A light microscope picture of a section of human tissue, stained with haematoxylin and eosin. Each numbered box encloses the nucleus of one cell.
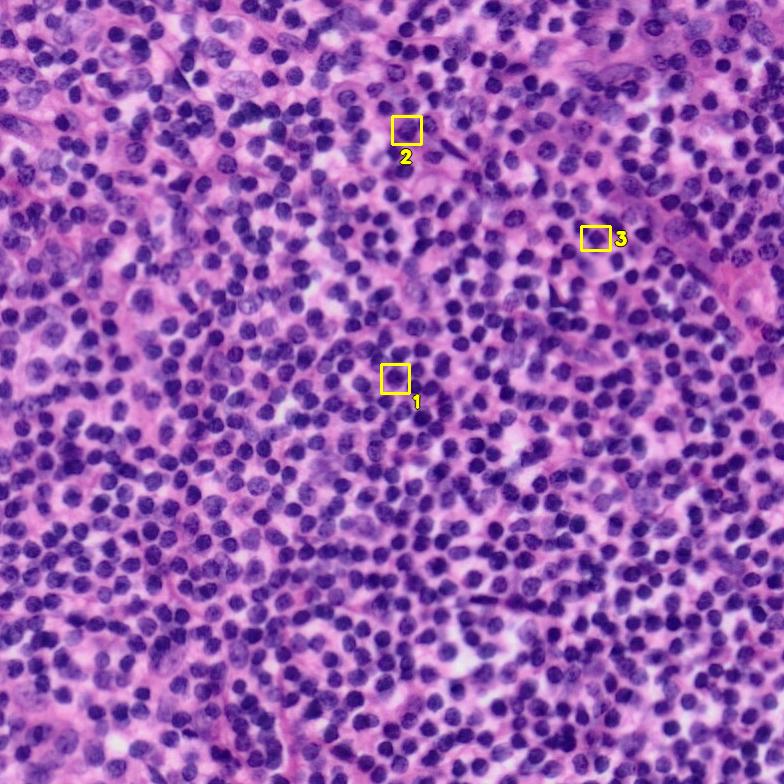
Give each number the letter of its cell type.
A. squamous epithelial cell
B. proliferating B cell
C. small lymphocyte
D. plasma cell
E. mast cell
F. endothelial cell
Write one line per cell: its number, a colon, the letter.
1: C
2: D
3: C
